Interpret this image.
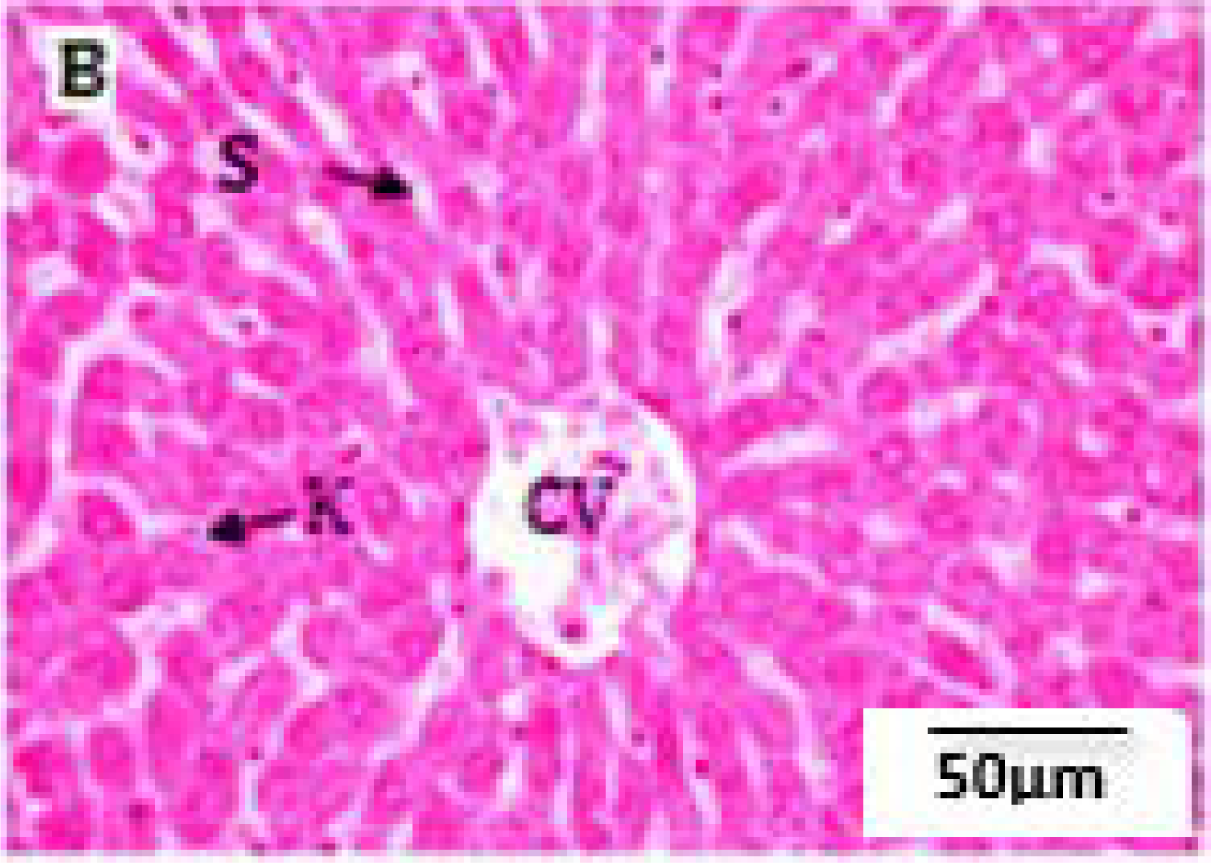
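This is liver with plates of pink polygonal hepatocytes radiating out from a central vein that lies in the middle of the field. Between the plates run clear sinusoids that converge on the vein, and scattered small dark nuclei along the sinusoids belong to lining cells such as Kupffer cells.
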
